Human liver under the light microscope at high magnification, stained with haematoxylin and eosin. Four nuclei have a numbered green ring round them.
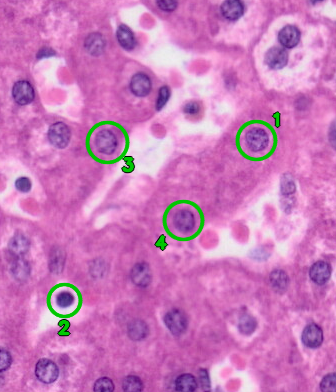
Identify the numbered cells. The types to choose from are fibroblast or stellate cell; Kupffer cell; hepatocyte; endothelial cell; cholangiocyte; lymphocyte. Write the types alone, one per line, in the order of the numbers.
hepatocyte
lymphocyte
hepatocyte
hepatocyte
